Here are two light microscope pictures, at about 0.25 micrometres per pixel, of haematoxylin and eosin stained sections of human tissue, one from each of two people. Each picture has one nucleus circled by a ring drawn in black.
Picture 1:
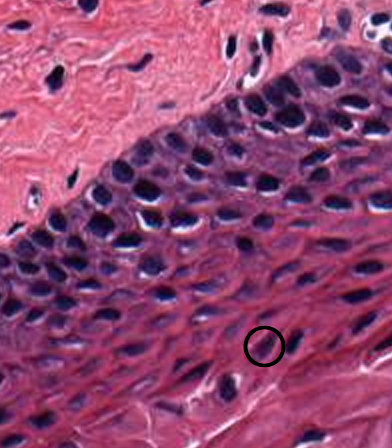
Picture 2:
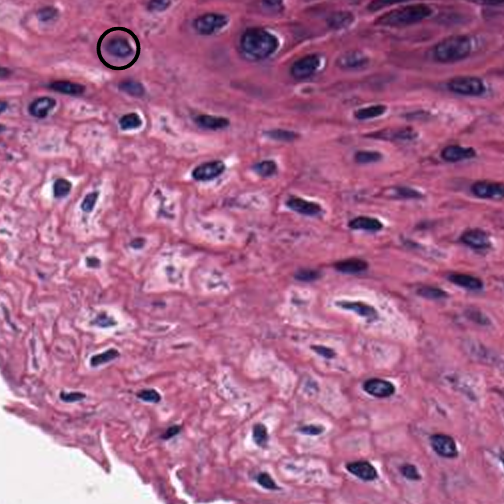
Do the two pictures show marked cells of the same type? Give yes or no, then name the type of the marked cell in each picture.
Yes, both are squamous epithelial cells.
